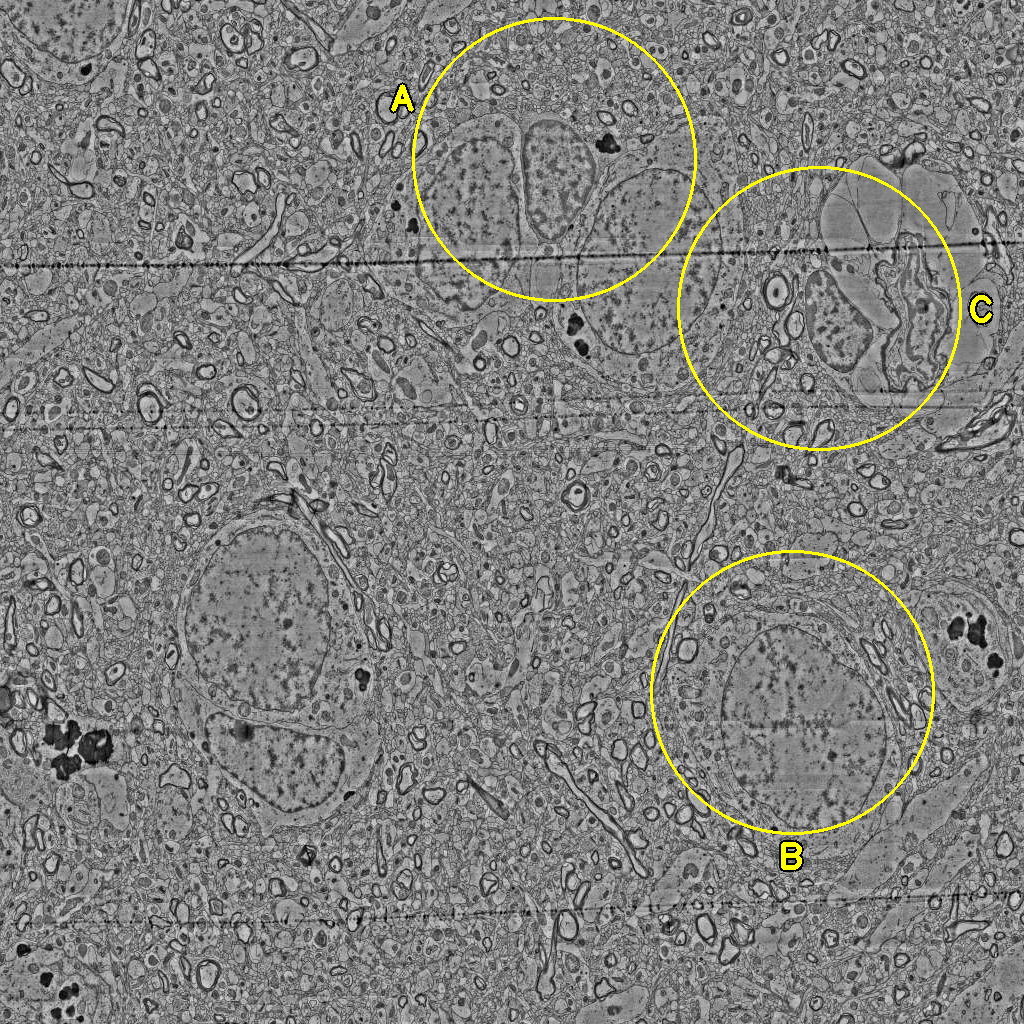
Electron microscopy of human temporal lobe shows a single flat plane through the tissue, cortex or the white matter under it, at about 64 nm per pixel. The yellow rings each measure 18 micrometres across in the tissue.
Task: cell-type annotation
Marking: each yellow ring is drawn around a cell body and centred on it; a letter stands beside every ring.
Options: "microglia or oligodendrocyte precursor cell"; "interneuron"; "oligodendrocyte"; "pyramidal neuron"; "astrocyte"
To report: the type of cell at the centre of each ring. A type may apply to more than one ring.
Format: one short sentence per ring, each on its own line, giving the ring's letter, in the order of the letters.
Ring A is centred on an oligodendrocyte.
Ring B is centred on a pyramidal neuron.
Ring C is centred on a microglial cell or oligodendrocyte precursor cell.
